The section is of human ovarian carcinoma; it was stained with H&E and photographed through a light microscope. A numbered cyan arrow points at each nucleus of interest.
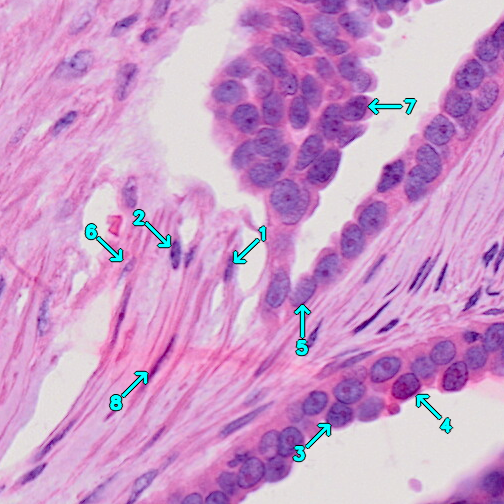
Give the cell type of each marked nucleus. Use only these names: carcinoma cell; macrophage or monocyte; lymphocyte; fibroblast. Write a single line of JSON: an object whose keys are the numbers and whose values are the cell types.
{"1": "fibroblast", "2": "fibroblast", "3": "carcinoma cell", "4": "carcinoma cell", "5": "carcinoma cell", "6": "fibroblast", "7": "carcinoma cell", "8": "fibroblast"}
